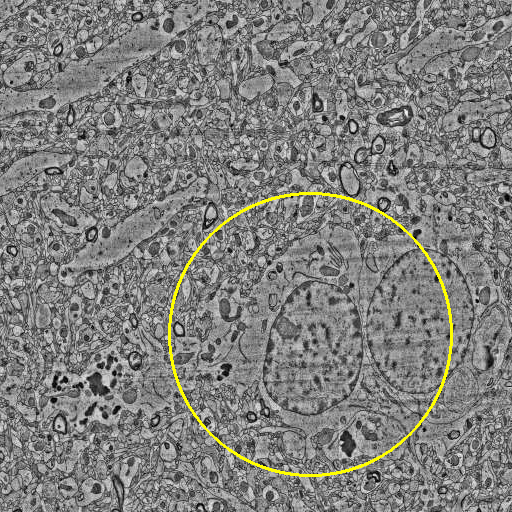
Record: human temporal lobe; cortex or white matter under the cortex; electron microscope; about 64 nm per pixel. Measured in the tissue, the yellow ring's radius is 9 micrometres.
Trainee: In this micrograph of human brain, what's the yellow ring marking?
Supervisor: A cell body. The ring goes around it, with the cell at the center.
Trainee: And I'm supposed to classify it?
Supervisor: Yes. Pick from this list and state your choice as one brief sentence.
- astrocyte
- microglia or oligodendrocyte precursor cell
The cell at the ring's center is an astrocyte.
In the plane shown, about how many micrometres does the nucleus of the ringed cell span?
In this plane, the nucleus of the cell at the centre of the ring measures about 9 by 6 micrometres.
